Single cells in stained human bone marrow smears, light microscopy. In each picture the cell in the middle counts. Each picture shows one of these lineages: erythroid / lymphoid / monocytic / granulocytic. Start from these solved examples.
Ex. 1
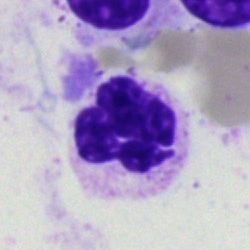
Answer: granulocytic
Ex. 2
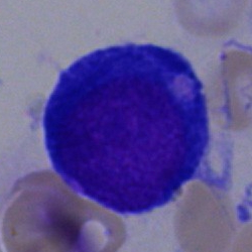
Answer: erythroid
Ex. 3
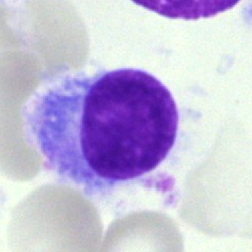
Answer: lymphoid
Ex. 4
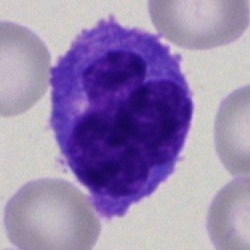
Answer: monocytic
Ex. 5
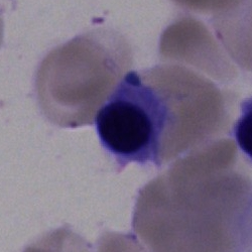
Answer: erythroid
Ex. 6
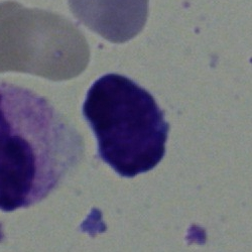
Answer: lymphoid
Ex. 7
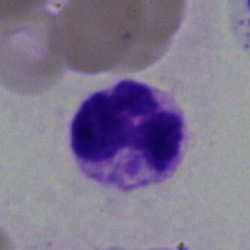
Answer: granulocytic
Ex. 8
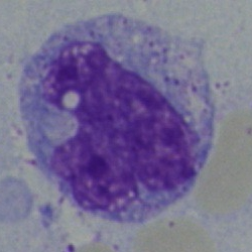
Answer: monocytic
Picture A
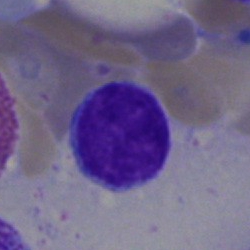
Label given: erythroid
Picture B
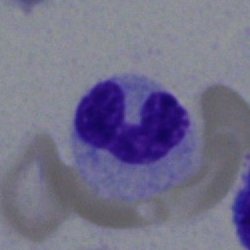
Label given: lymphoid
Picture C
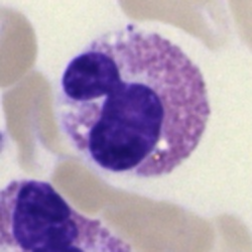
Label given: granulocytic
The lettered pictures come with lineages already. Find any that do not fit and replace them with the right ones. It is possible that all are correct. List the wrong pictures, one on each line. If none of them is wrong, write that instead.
A: change erythroid to lymphoid
B: change lymphoid to granulocytic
